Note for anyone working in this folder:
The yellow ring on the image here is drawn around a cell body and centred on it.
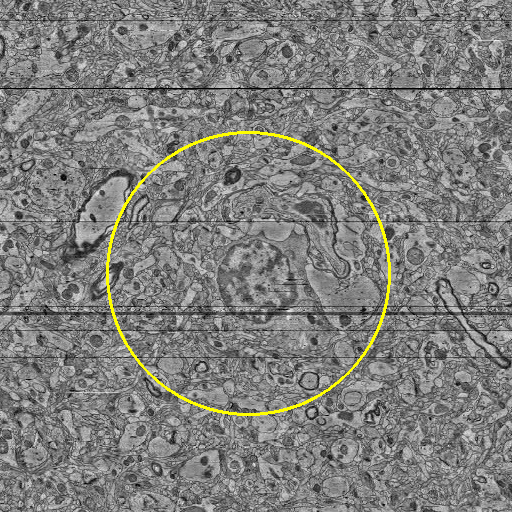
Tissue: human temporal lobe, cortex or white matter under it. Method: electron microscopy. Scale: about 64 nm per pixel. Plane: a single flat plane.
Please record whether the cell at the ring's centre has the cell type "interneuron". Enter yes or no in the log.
no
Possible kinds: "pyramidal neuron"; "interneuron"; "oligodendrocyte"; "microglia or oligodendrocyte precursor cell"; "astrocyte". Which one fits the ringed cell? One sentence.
Instead, what sits at the centre of the ring is an oligodendrocyte.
